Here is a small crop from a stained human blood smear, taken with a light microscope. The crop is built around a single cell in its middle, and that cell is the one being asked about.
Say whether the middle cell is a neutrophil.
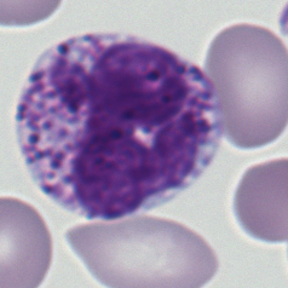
no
